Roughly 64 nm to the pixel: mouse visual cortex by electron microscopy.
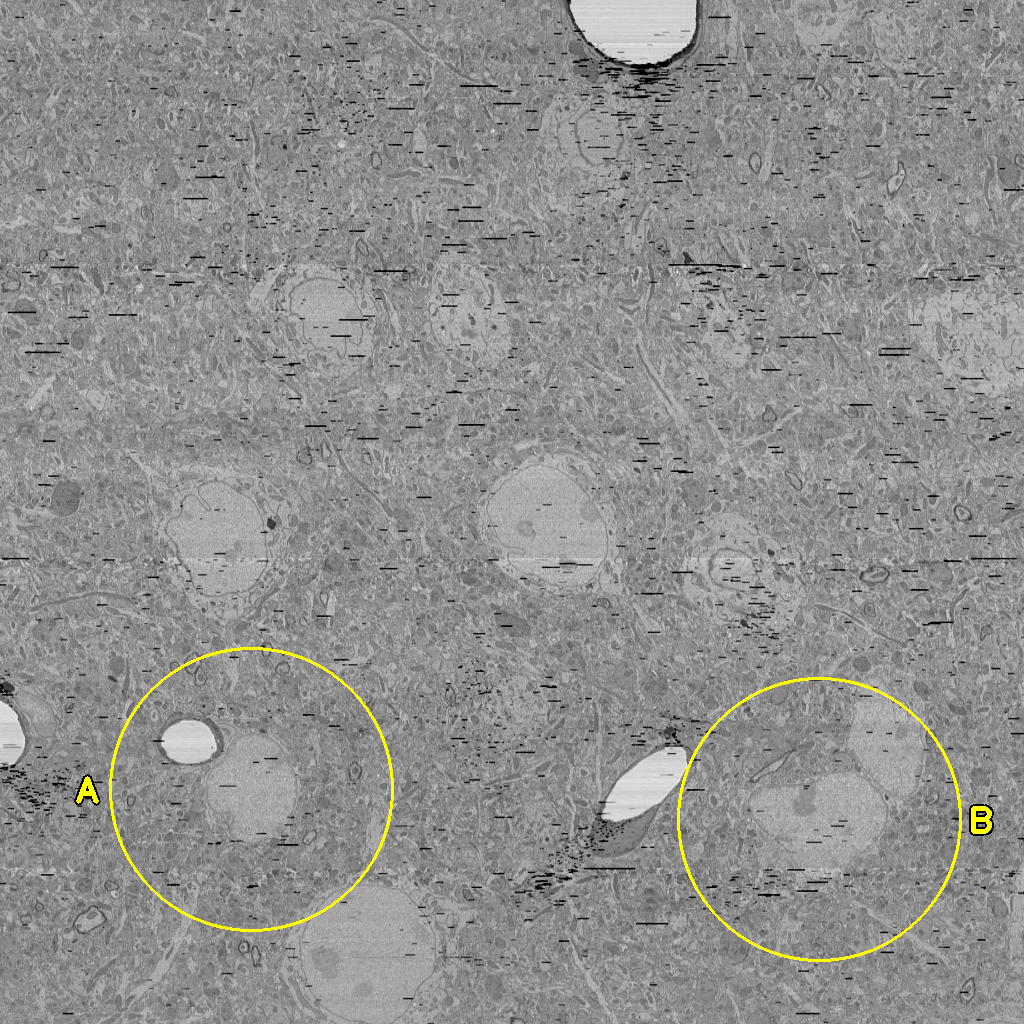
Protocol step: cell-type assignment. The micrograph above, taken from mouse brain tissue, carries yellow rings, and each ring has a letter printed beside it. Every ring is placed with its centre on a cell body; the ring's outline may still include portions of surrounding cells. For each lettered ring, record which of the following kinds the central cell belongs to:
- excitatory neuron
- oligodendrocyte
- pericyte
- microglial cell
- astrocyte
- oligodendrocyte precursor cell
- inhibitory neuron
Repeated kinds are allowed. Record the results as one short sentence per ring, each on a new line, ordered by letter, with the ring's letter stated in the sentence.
In ring A, the central cell is an astrocyte.
In ring B, the central cell is an astrocyte.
